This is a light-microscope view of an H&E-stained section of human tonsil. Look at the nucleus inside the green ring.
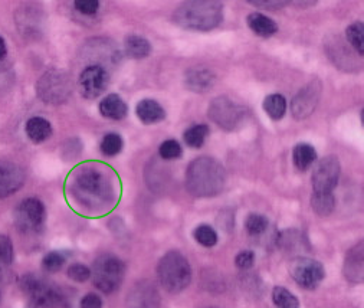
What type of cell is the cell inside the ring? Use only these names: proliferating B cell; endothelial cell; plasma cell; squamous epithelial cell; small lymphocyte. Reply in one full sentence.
It is as a squamous epithelial cell that the cell inside the ring is classified.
